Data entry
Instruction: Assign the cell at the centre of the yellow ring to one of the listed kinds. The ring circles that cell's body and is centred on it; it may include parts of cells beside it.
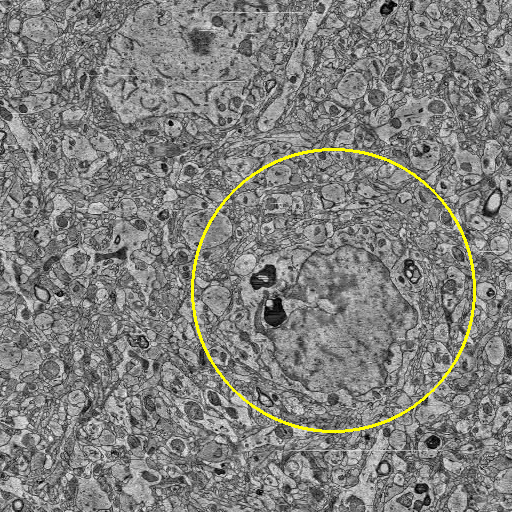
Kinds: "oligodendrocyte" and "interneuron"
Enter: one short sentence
The centre of the ring falls on an interneuron.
